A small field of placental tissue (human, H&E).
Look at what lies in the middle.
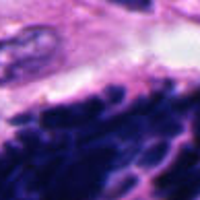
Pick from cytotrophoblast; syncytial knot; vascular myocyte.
syncytial knot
